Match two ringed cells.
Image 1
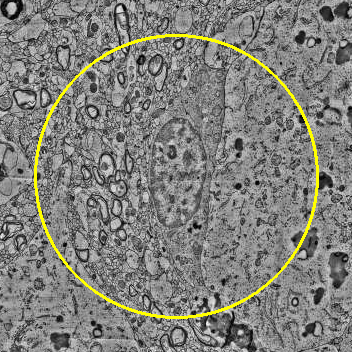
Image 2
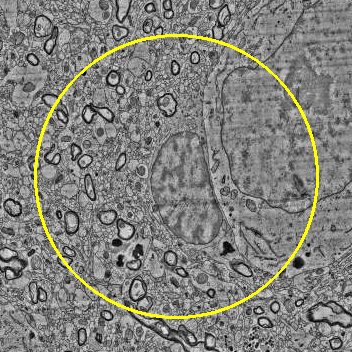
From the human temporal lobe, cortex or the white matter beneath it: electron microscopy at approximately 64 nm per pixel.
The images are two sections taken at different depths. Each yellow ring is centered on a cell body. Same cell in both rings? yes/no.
no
